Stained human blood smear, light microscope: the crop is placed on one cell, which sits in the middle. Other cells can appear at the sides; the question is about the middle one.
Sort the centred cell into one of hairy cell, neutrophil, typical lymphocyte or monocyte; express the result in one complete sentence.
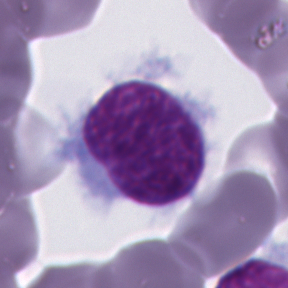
Centrally within this crop lies a hairy cell.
